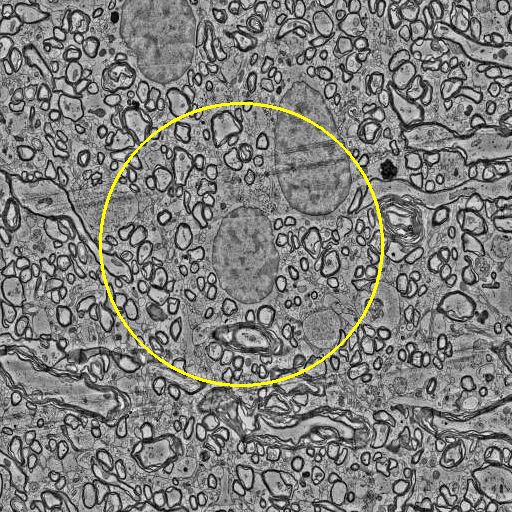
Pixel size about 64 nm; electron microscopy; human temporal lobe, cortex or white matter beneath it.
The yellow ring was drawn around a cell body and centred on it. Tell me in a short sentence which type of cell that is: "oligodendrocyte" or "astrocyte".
The cell at the ring's centre is an oligodendrocyte.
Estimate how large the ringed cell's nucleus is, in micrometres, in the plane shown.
About 6 by 5 micrometers for the nucleus, in this plane.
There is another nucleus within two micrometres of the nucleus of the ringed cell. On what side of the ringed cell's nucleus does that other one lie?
That other nucleus sits to the upper right of it.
